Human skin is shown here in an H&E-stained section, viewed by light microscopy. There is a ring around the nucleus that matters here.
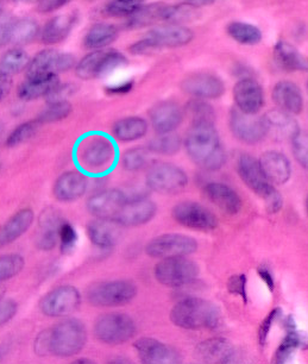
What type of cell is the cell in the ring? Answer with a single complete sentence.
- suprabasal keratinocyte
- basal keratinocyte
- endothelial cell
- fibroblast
As far as its identity is concerned, the cell in the ring is a basal keratinocyte.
